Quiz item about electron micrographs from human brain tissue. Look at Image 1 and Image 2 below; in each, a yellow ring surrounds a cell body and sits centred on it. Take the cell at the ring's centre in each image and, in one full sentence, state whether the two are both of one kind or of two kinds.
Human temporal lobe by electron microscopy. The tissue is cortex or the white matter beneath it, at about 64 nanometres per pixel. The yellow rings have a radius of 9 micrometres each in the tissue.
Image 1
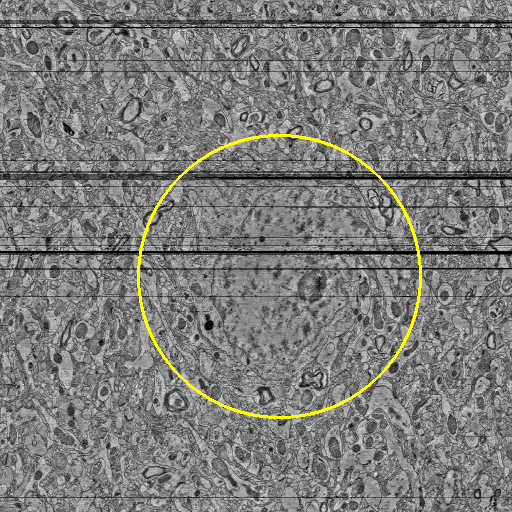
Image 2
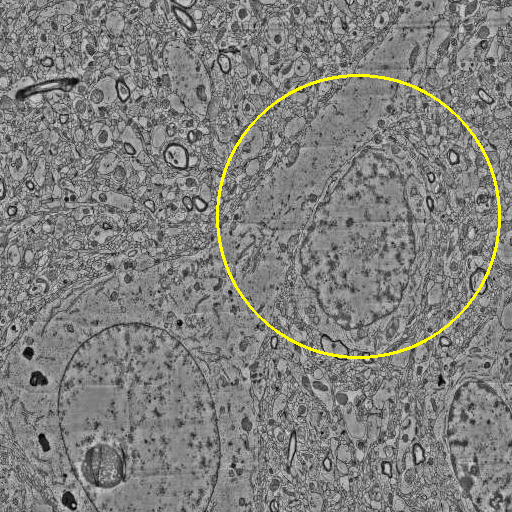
In Image 1 and Image 2, the cells at the ring centres are both of one kind.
